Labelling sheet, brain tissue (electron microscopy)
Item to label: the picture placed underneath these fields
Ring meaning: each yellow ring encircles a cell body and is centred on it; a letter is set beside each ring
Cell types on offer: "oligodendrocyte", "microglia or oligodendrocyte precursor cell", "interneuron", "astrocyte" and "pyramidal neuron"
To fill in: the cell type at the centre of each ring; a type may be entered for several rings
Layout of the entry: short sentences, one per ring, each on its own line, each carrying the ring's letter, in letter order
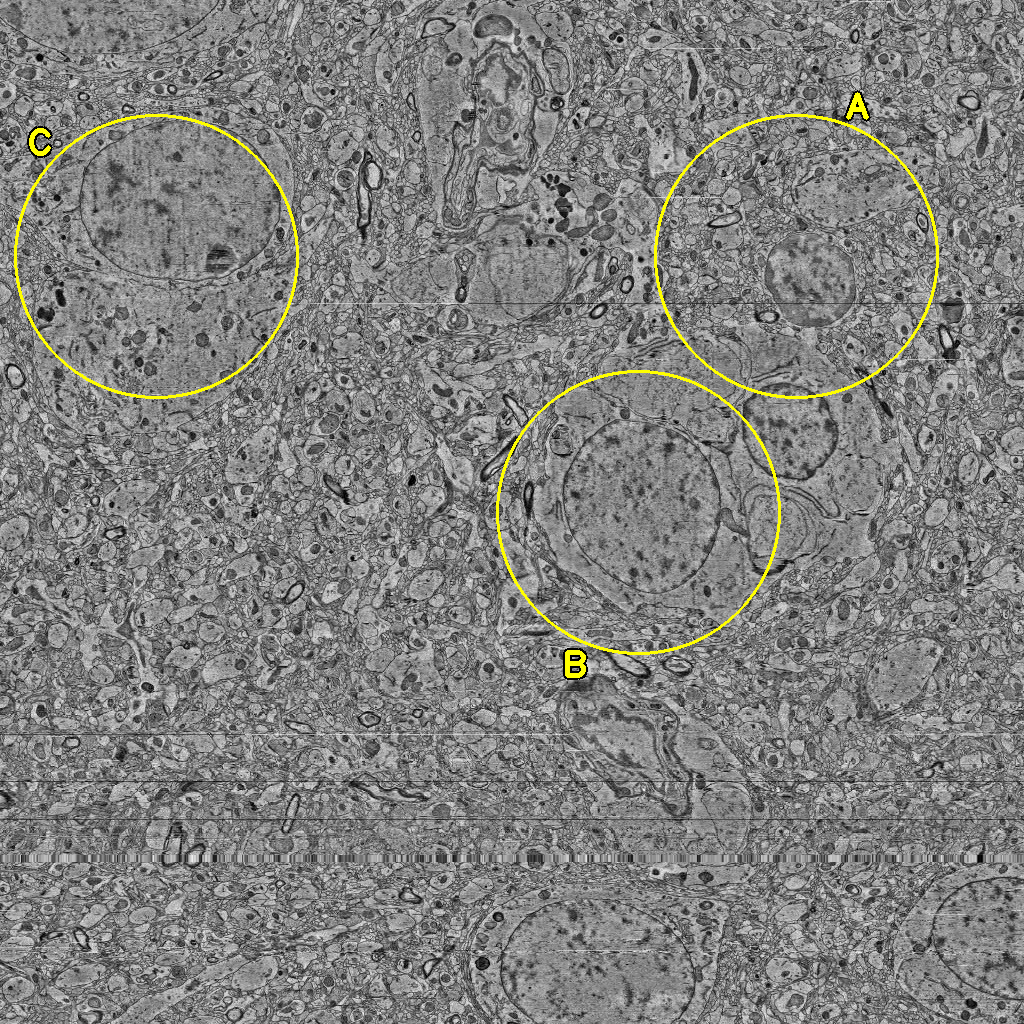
Ring A encircles the body of a microglial cell or oligodendrocyte precursor cell.
Ring B encircles the body of an astrocyte.
Ring C encircles the body of a pyramidal neuron.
